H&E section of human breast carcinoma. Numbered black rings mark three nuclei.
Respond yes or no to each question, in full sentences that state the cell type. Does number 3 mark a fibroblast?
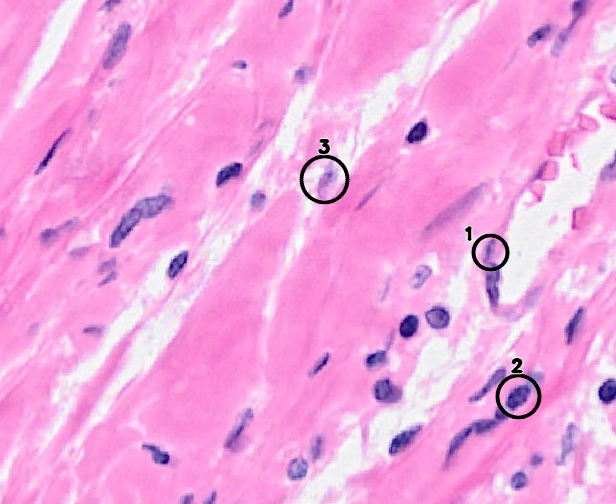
Yes, that one, number 3, is a fibroblast.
